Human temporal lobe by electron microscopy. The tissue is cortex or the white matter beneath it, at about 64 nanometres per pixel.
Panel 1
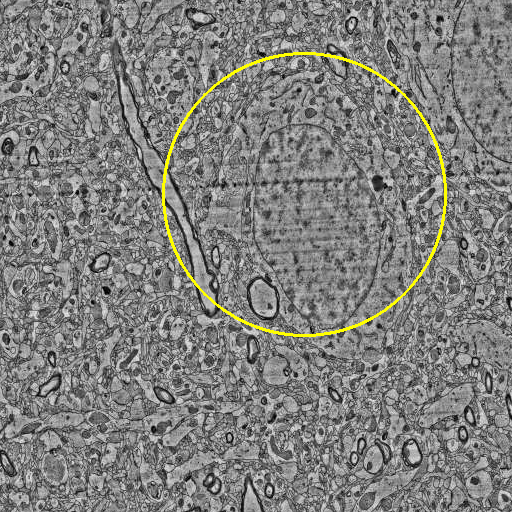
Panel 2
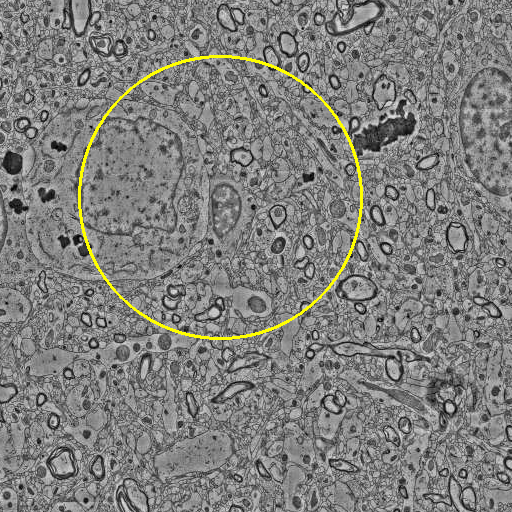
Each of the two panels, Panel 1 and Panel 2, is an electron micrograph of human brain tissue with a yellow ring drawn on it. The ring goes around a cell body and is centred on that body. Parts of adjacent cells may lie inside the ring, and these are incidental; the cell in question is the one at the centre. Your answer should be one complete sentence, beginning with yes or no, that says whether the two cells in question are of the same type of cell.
No, the two cells are of two types.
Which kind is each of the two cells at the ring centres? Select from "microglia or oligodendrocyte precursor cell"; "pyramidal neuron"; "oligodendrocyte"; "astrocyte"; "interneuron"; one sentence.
The cell at the centre of the ring is an interneuron in the first picture and an oligodendrocyte in the second.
